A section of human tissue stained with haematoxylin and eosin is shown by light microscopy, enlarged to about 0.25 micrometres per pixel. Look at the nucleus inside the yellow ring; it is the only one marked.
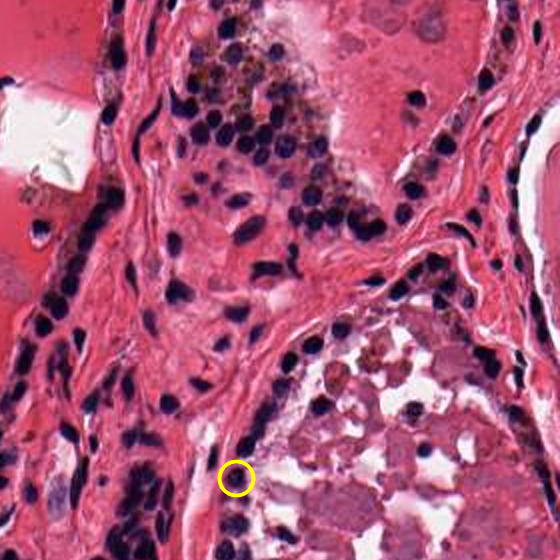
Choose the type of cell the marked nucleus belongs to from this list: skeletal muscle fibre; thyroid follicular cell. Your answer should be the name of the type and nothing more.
thyroid follicular cell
